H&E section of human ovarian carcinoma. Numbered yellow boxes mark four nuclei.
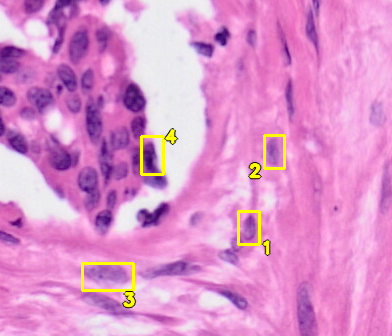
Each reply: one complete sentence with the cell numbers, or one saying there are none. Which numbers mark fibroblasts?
Cells 1, 2 and 3 share one type; they are fibroblasts.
